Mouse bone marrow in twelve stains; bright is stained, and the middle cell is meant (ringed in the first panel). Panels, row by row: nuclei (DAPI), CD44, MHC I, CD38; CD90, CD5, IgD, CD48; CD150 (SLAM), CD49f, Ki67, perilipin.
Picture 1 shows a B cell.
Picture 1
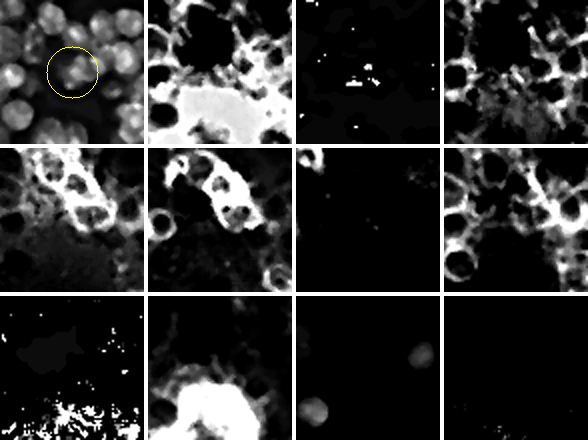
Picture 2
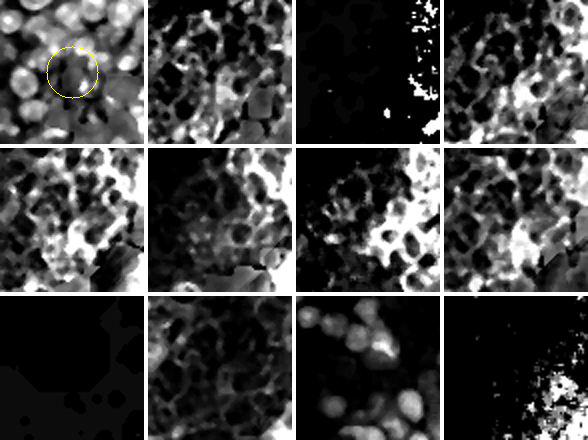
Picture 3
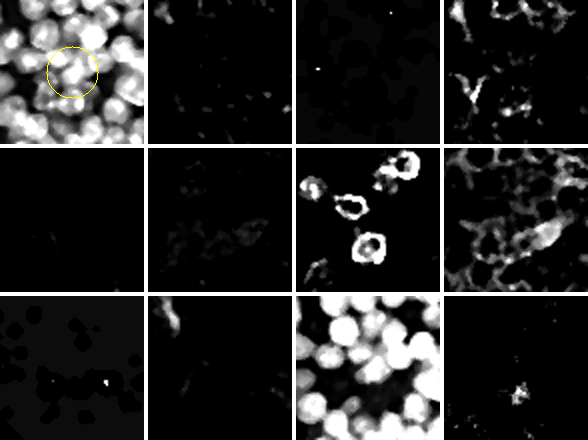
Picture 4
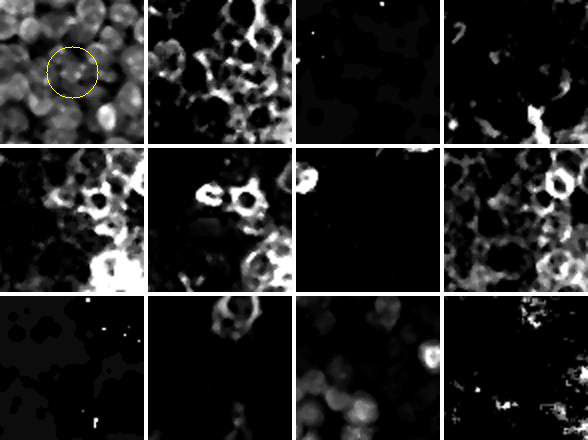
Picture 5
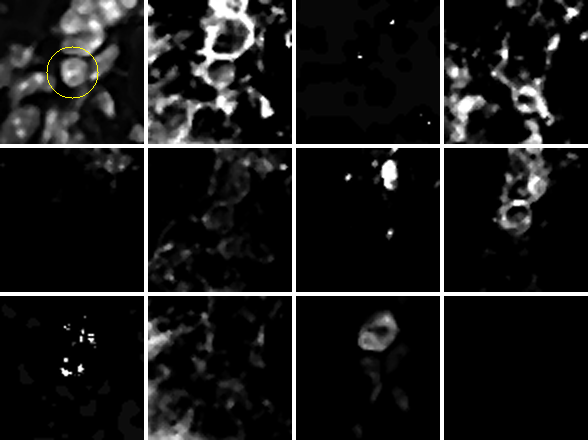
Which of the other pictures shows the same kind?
Picture 2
